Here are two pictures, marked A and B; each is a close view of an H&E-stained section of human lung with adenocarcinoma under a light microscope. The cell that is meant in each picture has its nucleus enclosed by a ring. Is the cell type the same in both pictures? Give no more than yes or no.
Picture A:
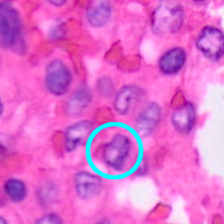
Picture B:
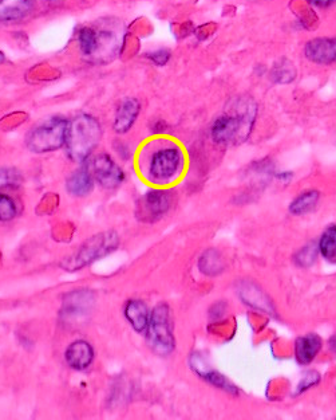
no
